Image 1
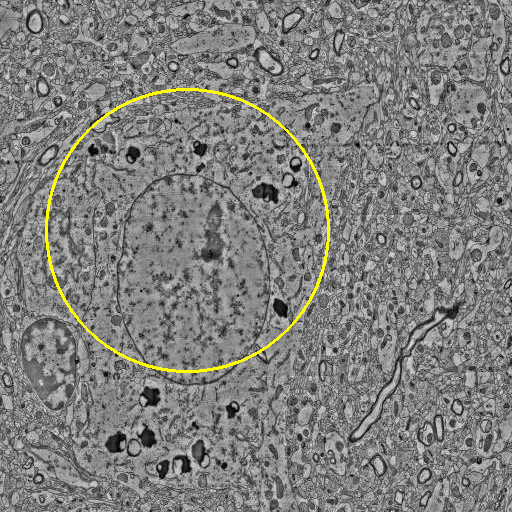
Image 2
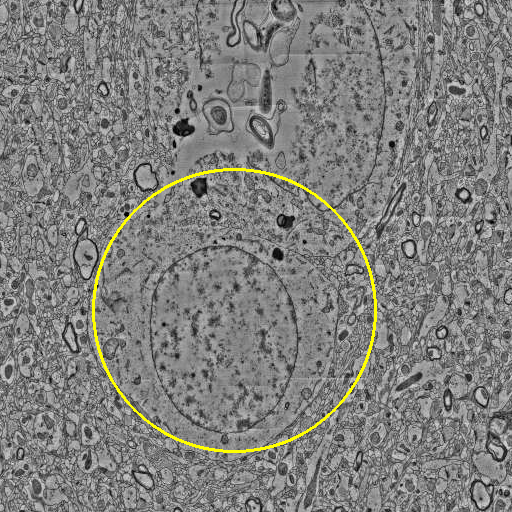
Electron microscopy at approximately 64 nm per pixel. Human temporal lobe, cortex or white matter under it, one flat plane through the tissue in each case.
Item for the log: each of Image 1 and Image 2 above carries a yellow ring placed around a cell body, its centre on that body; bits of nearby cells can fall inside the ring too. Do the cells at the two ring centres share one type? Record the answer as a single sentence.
Yes, the two cells at the ring centres in Image 1 and Image 2 share one type.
